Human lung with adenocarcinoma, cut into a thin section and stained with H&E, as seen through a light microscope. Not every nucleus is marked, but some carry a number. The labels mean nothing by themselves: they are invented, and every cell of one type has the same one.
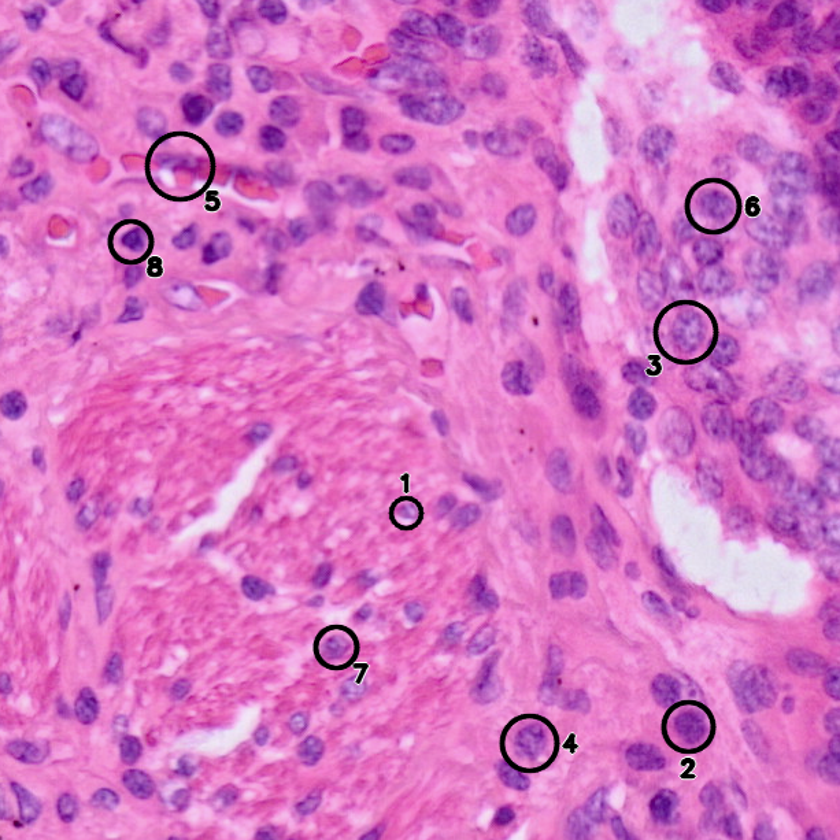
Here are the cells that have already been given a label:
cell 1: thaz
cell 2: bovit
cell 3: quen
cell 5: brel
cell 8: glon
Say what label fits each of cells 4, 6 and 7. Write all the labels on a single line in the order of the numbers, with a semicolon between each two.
bovit; quen; thaz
